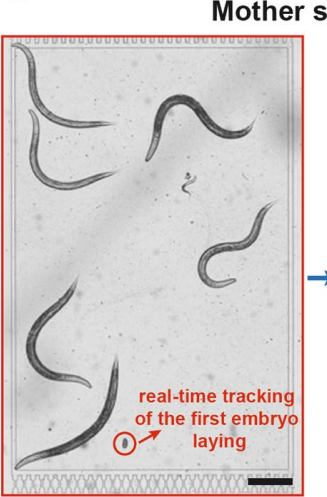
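The bodies look grey and somewhat granular inside against a pale background. Beside one worm near the bottom lies a small oval object, ringed in red, much smaller than the worms themselves.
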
